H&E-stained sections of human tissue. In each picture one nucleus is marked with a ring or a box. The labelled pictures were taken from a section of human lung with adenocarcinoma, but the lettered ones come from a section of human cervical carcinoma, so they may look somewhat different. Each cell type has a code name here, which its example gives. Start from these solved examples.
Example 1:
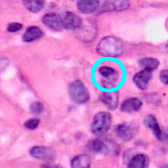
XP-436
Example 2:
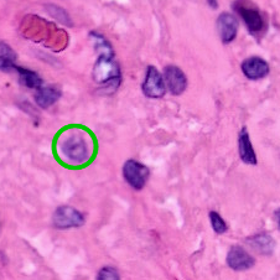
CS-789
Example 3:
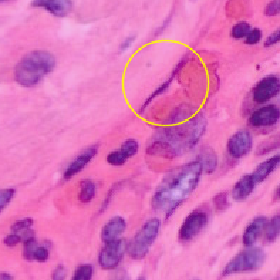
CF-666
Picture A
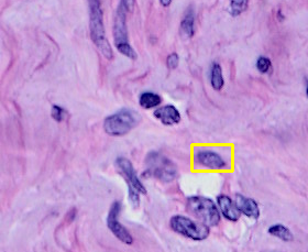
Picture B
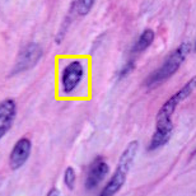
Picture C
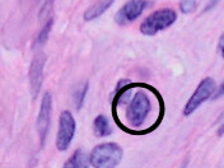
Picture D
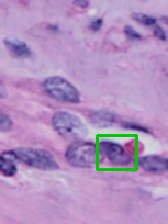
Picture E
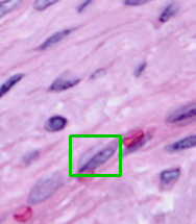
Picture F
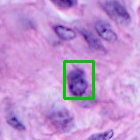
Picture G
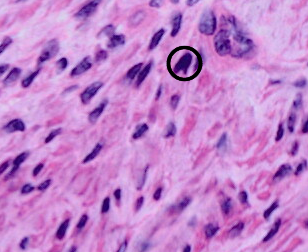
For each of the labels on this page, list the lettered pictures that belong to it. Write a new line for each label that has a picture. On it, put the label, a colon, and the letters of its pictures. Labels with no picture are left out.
XP-436: B, F, G
CF-666: A, C, D, E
